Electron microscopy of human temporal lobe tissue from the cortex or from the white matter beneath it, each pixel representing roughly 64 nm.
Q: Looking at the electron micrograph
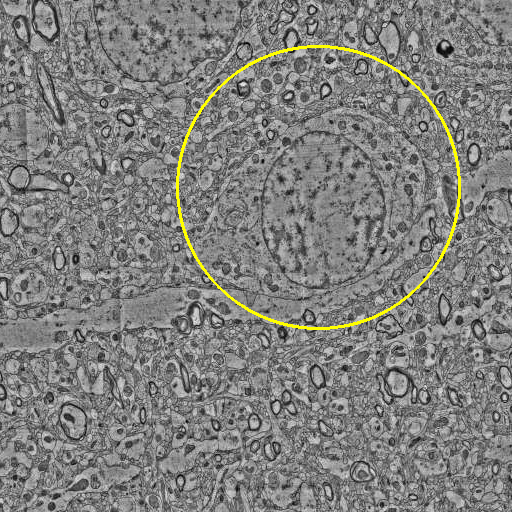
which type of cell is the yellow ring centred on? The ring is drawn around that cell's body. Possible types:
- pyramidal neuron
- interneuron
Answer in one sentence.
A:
The yellow ring is centred on an interneuron.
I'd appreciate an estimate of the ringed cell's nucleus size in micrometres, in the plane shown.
In this plane the nucleus is about 10 micrometres by 8.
